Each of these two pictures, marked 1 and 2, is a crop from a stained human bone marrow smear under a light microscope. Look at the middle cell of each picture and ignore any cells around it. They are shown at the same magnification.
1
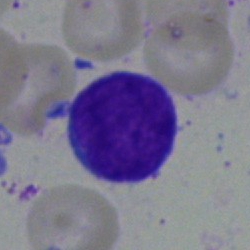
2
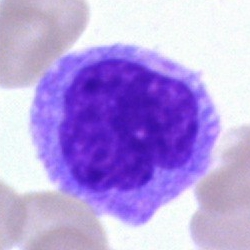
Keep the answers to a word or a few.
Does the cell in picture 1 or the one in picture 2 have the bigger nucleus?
2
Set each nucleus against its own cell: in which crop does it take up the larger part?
1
